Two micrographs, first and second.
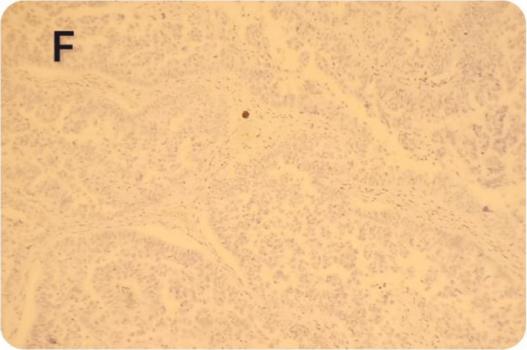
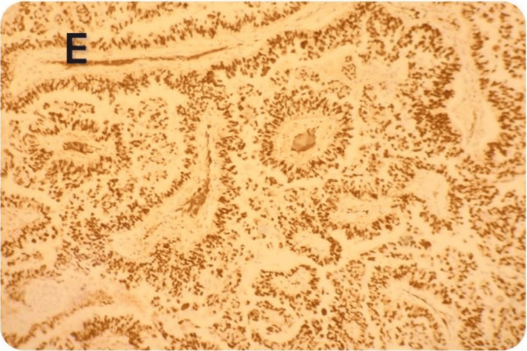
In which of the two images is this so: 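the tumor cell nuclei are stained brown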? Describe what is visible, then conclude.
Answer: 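First image: the tumor cells are pale with essentially no brown nuclear stain. Second image: most tumor cell nuclei are strongly brown. So: the second image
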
